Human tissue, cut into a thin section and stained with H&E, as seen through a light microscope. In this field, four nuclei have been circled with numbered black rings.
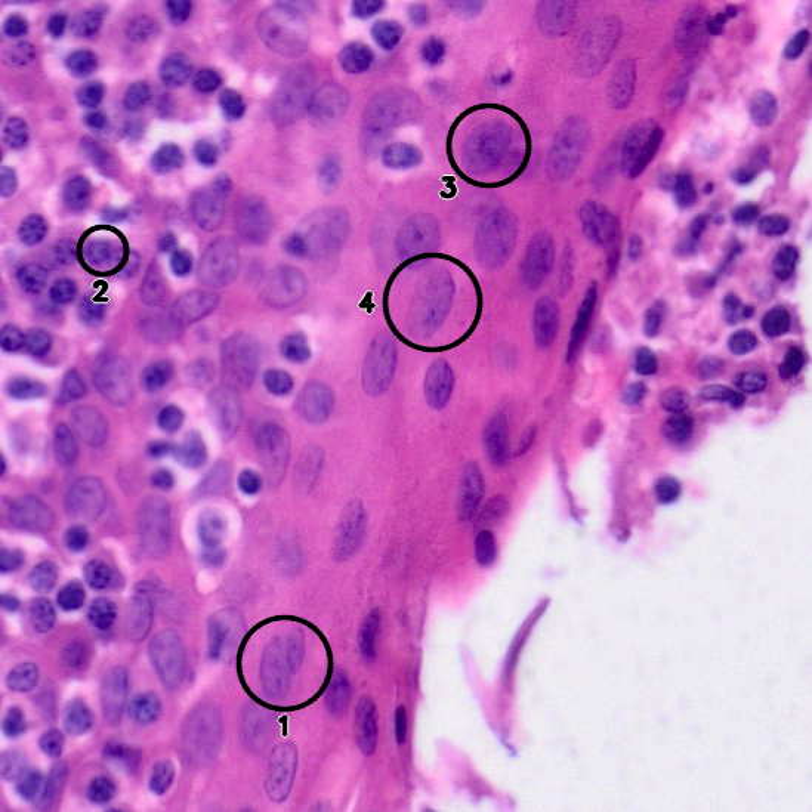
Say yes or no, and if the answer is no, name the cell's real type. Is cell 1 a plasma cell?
No, it is a squamous epithelial cell.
